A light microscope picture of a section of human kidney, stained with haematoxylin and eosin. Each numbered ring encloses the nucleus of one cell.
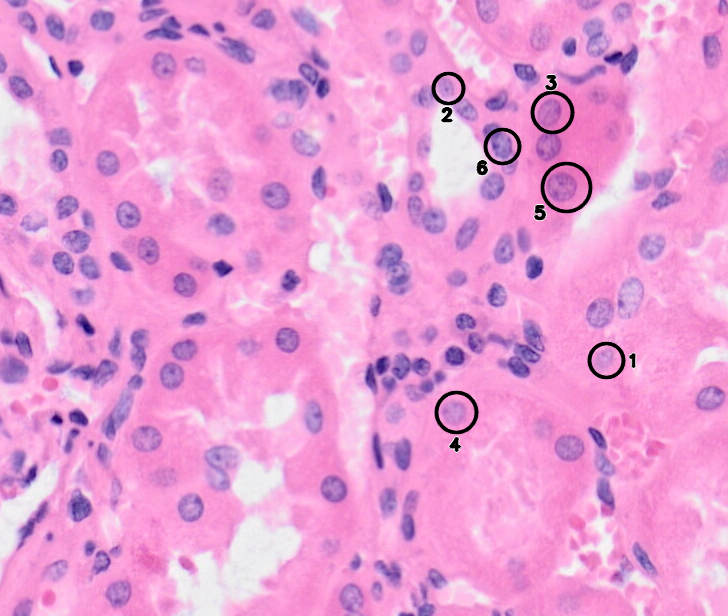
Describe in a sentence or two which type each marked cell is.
Cells 1, 3, 4 and 5 are proximal tubule cells. Cells 2 and 6 are collecting duct cells.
